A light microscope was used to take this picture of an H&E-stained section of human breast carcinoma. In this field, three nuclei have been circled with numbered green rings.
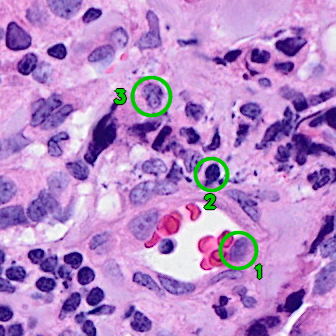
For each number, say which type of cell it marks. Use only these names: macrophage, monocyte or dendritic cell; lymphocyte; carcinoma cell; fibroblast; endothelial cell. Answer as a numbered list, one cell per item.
1. endothelial cell
2. lymphocyte
3. macrophage, monocyte or dendritic cell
